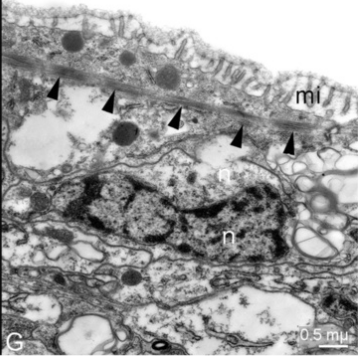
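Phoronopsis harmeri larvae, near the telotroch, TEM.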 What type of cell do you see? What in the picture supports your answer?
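The upper surface carries a fringe of microvilli facing outward. A nucleus with clumped dark chromatin lies beneath the apical cytoplasm. So: Epidermal cells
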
